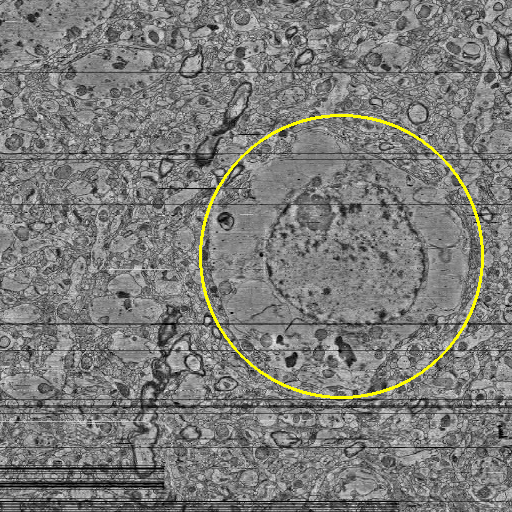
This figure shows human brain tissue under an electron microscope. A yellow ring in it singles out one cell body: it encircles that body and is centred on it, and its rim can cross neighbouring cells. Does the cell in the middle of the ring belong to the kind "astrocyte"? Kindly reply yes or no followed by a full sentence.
Yes, the kind asked about is right for the cell centred in the figure's ring.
